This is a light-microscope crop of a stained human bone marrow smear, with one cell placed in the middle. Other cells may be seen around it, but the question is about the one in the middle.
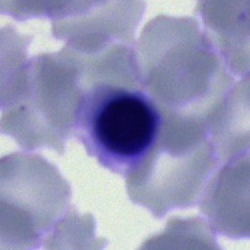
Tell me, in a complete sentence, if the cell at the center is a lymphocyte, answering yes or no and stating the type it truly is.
No, the cell in the centre is to be called an erythroblast instead of a lymphocyte.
